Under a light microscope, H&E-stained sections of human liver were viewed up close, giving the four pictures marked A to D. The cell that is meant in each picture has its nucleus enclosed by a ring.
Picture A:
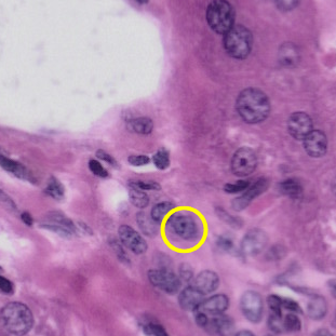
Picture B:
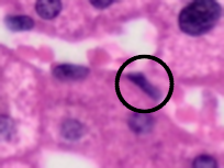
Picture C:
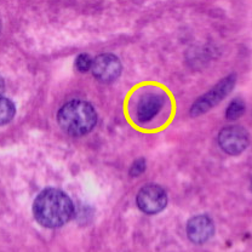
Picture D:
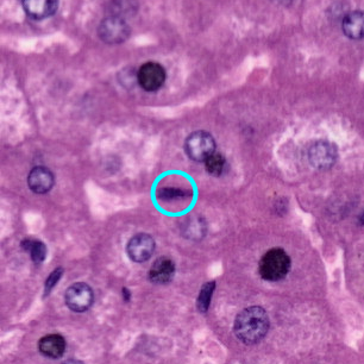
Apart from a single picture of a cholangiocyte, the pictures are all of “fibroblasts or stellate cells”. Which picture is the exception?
A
